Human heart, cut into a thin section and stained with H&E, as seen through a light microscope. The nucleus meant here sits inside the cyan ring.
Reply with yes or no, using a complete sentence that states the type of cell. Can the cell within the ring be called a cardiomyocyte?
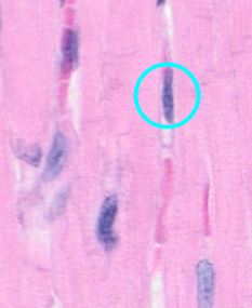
No, rather than a cardiomyocyte, the cell within the ring is an endothelial cell.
